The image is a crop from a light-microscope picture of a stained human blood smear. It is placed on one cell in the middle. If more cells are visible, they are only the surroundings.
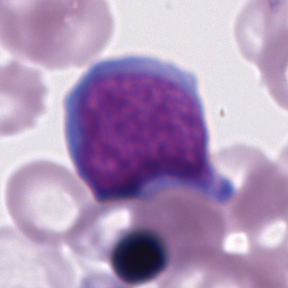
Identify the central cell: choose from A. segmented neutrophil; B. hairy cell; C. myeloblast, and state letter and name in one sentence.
The middle cell of the crop is a myeloblast; accordingly, option C is correct.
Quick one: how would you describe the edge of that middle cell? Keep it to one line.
Instead of a smooth edge, this cell has an irregular one, ragged or with projections.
